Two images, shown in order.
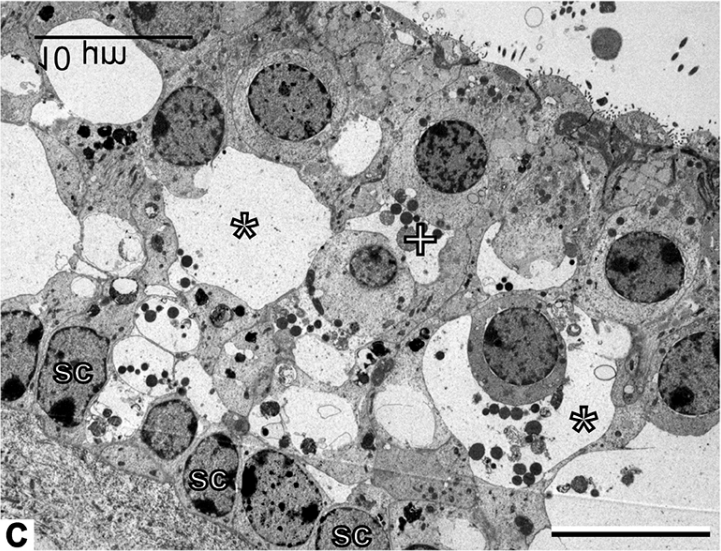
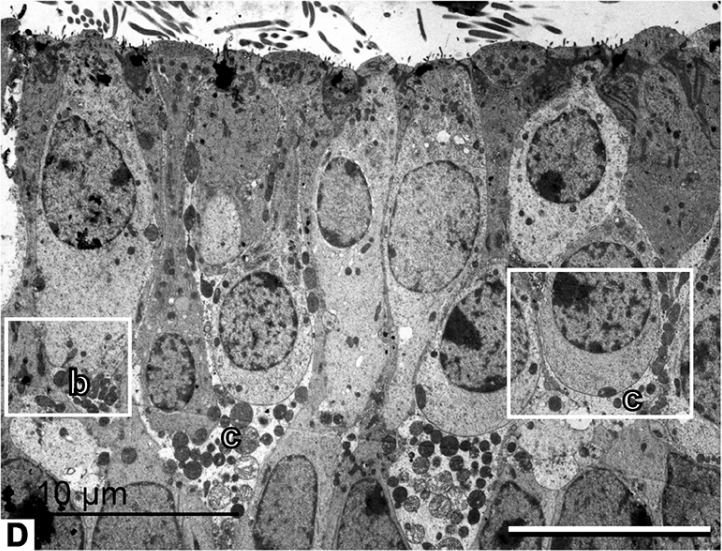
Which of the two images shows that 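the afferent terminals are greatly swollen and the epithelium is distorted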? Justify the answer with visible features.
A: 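Second image: tall cells packed side by side in an orderly layer with few empty spaces. First image: many large pale empty spaces break up the epithelium and cells lie disordered. So: the first image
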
